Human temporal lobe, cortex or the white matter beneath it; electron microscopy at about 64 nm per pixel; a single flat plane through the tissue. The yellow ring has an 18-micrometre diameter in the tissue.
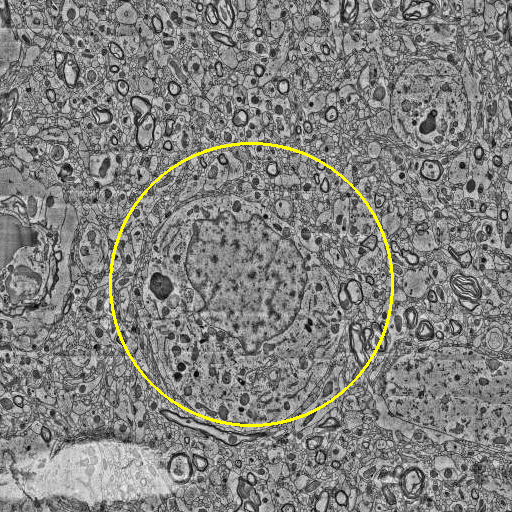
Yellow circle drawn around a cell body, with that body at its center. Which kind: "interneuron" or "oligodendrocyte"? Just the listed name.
interneuron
